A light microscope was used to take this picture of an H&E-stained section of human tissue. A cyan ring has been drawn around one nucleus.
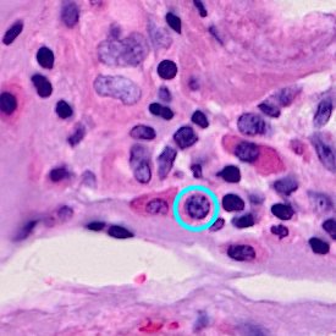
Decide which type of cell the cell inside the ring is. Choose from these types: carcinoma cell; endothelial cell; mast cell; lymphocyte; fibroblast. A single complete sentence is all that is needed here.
Speaking plainly, the cell inside the ring is nothing other than a mast cell.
